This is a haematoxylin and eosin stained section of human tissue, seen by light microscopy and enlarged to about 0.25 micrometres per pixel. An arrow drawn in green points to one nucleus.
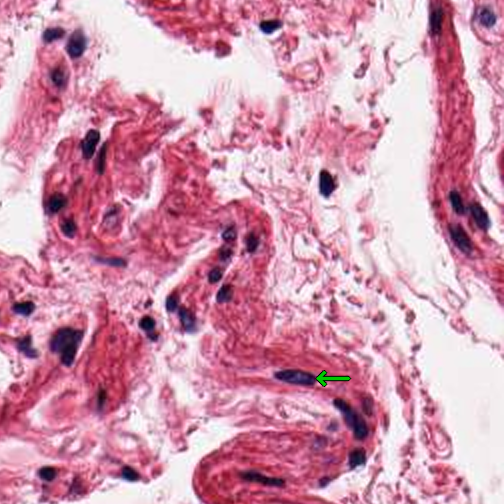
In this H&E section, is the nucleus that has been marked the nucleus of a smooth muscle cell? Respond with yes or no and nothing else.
yes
